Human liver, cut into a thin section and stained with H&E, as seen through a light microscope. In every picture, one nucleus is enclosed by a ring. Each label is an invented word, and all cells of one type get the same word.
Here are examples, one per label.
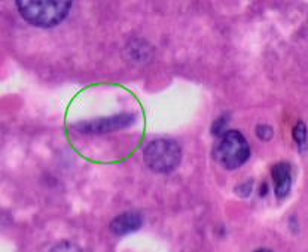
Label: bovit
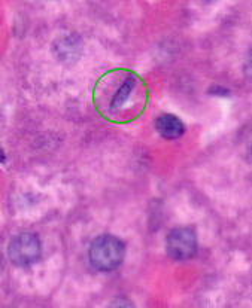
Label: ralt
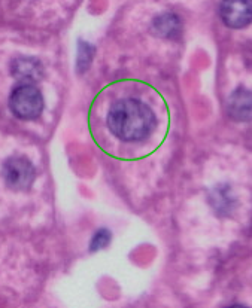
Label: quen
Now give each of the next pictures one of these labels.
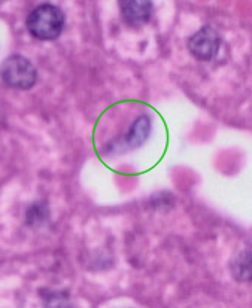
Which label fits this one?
bovit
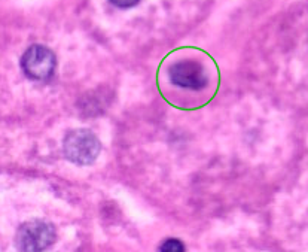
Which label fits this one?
ralt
